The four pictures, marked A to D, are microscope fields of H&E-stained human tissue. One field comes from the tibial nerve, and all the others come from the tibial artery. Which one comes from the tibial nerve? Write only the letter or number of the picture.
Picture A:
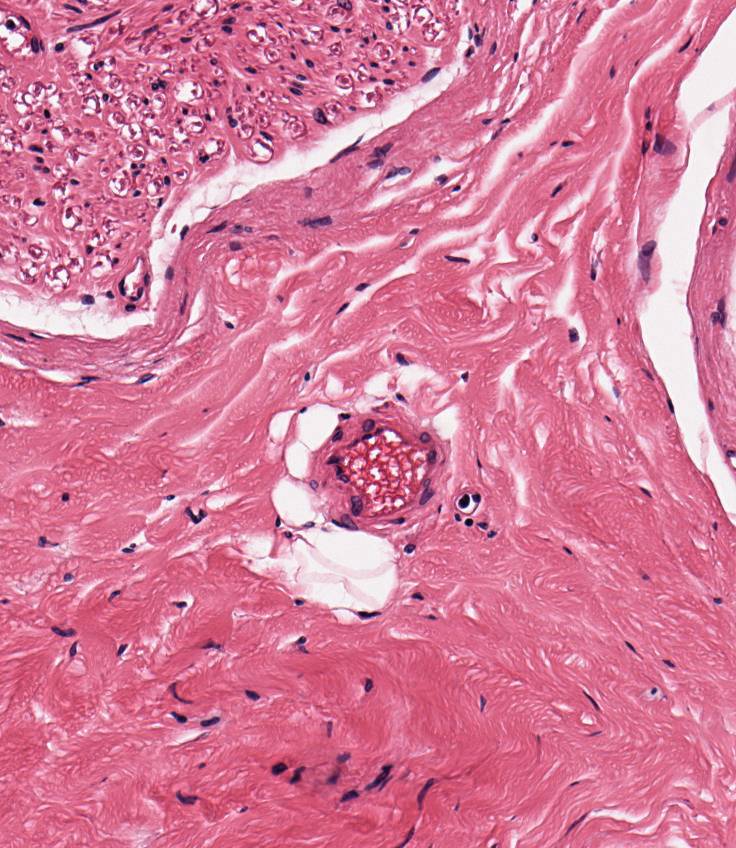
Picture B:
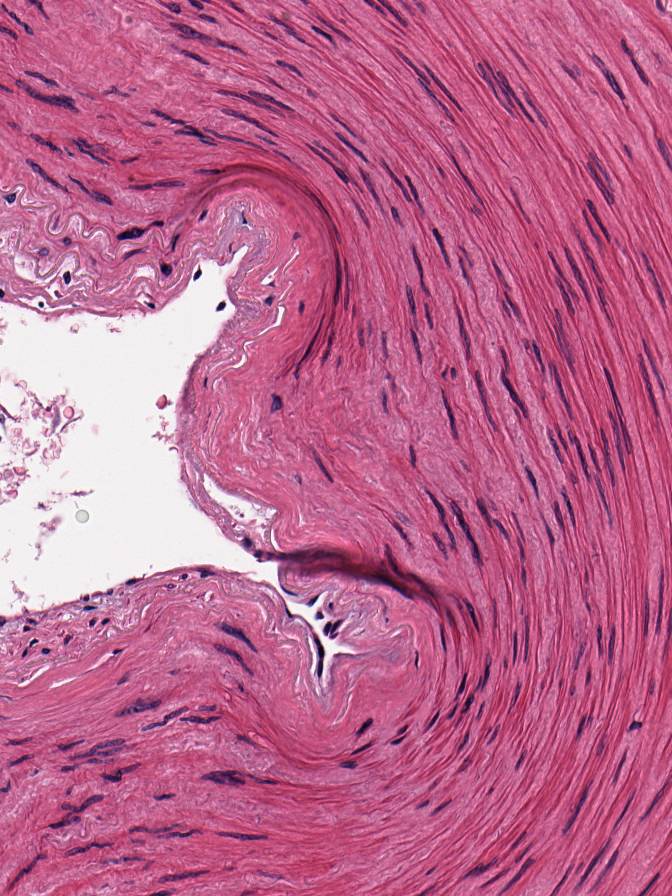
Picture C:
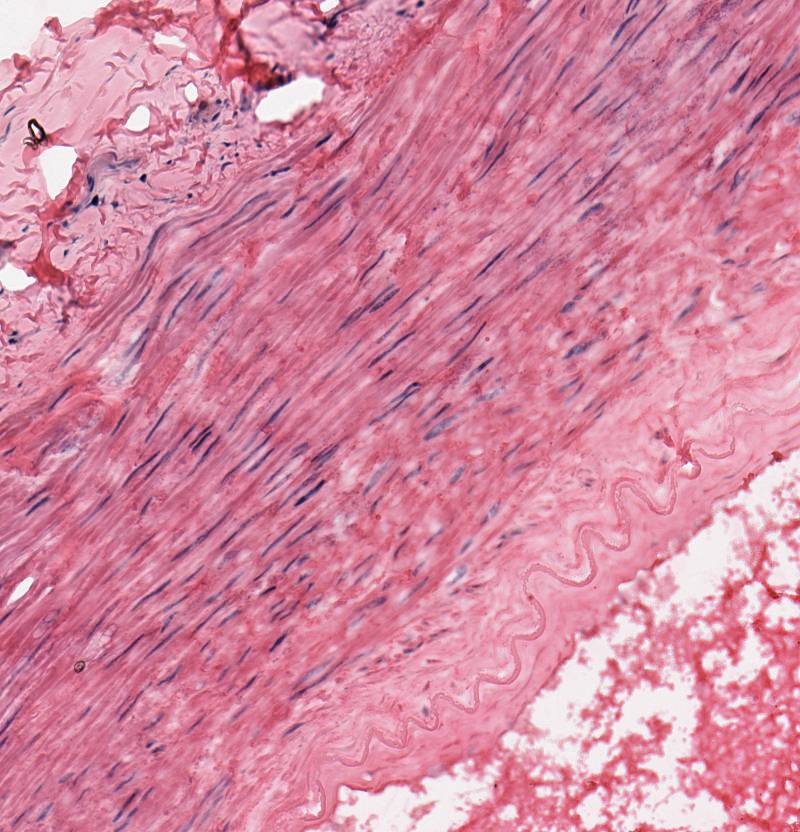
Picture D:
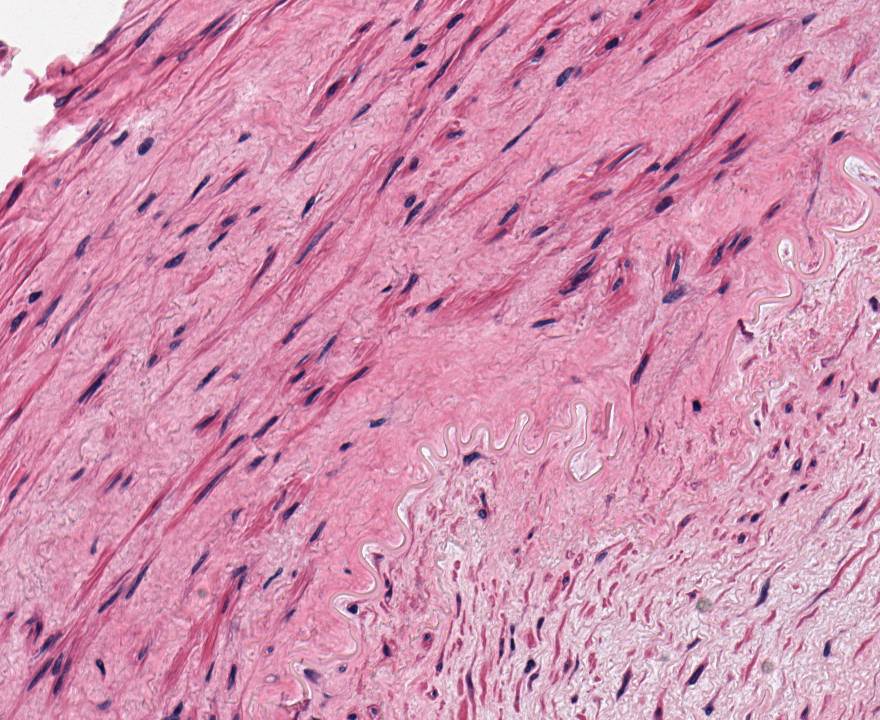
A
